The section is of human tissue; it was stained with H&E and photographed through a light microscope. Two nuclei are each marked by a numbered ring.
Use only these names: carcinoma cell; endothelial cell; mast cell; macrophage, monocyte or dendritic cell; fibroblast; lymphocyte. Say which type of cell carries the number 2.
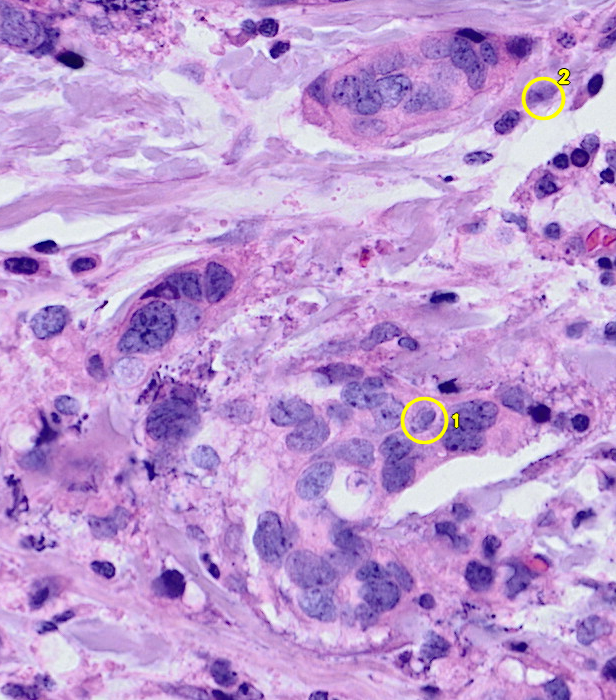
fibroblast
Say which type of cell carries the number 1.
carcinoma cell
